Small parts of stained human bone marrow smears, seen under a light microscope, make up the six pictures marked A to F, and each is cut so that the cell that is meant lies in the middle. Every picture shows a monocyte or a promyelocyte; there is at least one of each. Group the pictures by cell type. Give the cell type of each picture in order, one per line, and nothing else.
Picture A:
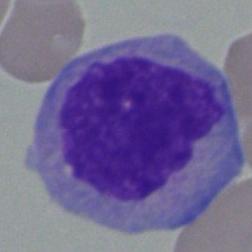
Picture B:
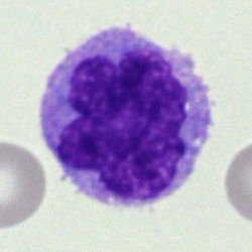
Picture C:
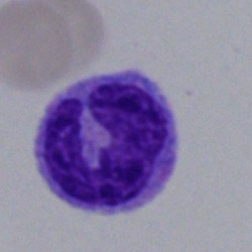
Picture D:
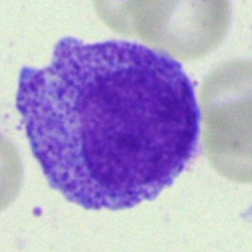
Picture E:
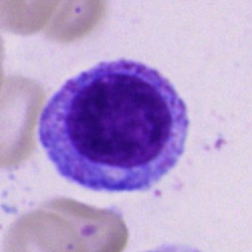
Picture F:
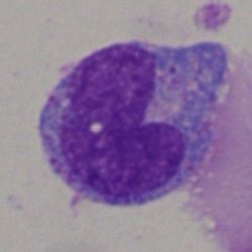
monocyte
monocyte
monocyte
promyelocyte
promyelocyte
monocyte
